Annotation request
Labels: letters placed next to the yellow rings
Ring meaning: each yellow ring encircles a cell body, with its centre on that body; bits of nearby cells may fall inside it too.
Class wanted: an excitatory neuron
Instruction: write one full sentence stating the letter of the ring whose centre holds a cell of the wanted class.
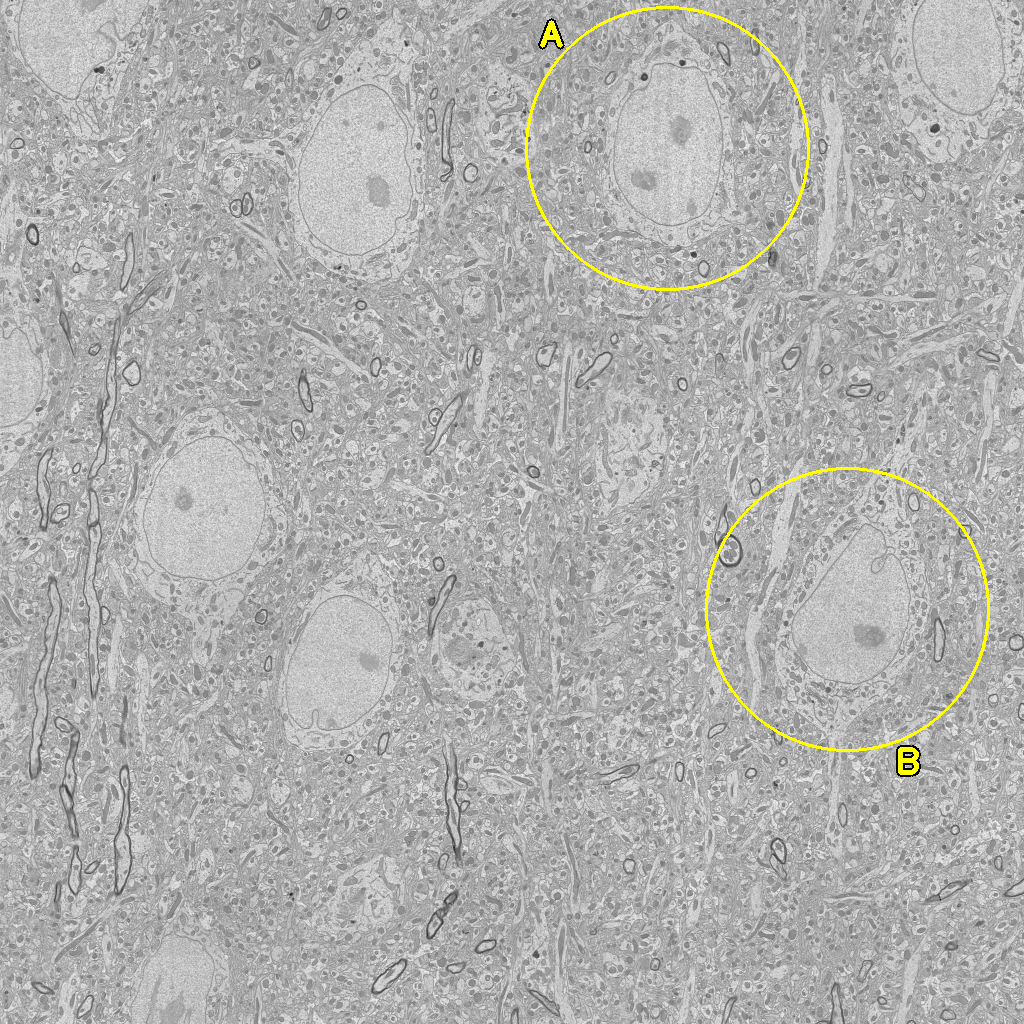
For this annotation, a cell of that kind sits at the centre of ring A.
